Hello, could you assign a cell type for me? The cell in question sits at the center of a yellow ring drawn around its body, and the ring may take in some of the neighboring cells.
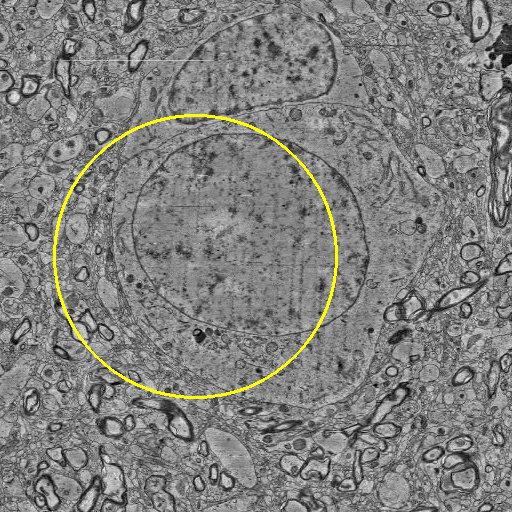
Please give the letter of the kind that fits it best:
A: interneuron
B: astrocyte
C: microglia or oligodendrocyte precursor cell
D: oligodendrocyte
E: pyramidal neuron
E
